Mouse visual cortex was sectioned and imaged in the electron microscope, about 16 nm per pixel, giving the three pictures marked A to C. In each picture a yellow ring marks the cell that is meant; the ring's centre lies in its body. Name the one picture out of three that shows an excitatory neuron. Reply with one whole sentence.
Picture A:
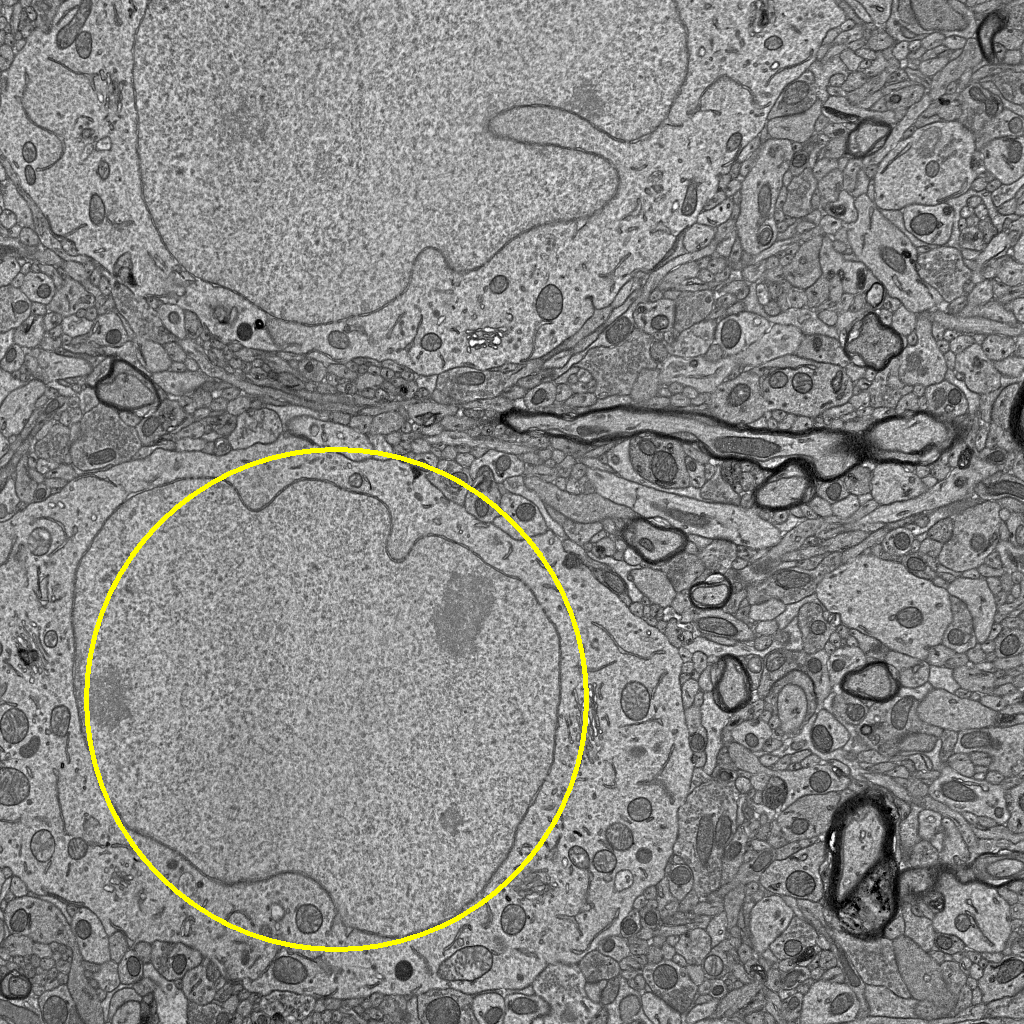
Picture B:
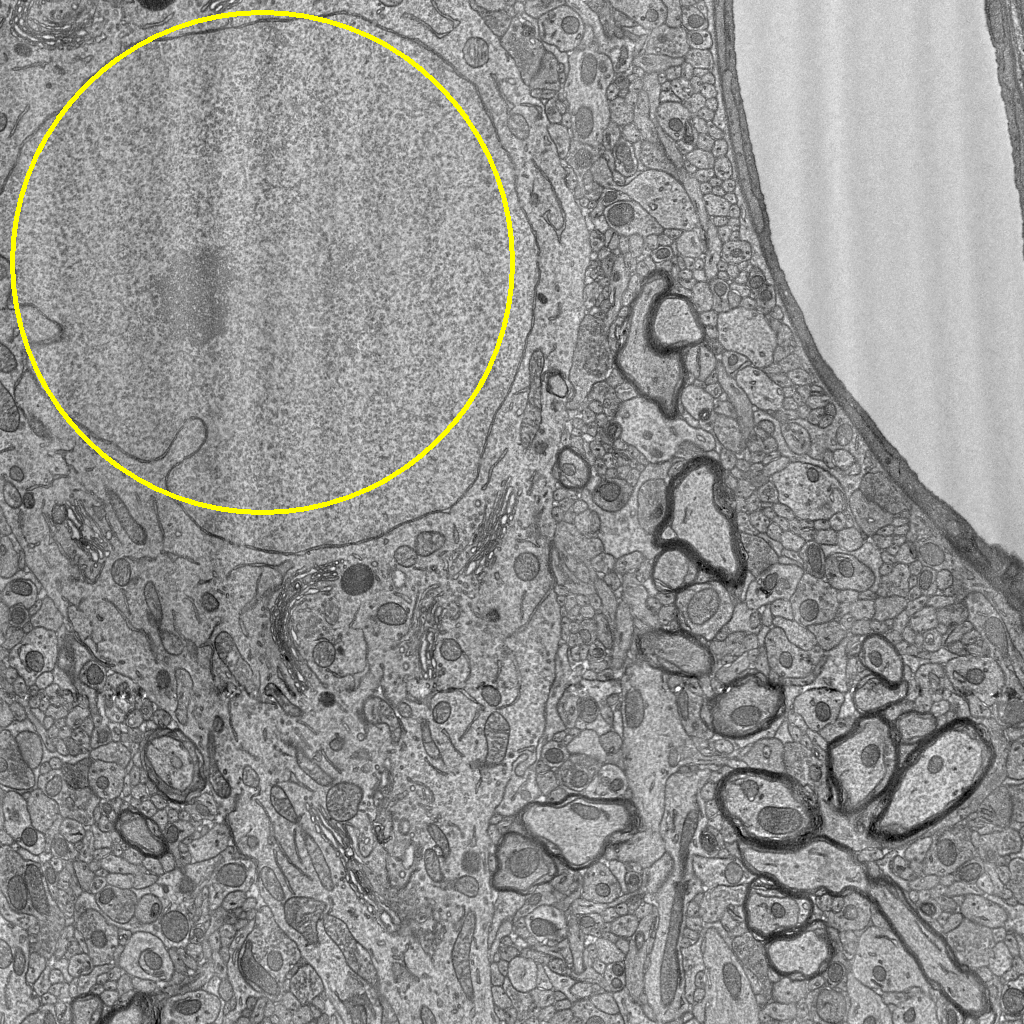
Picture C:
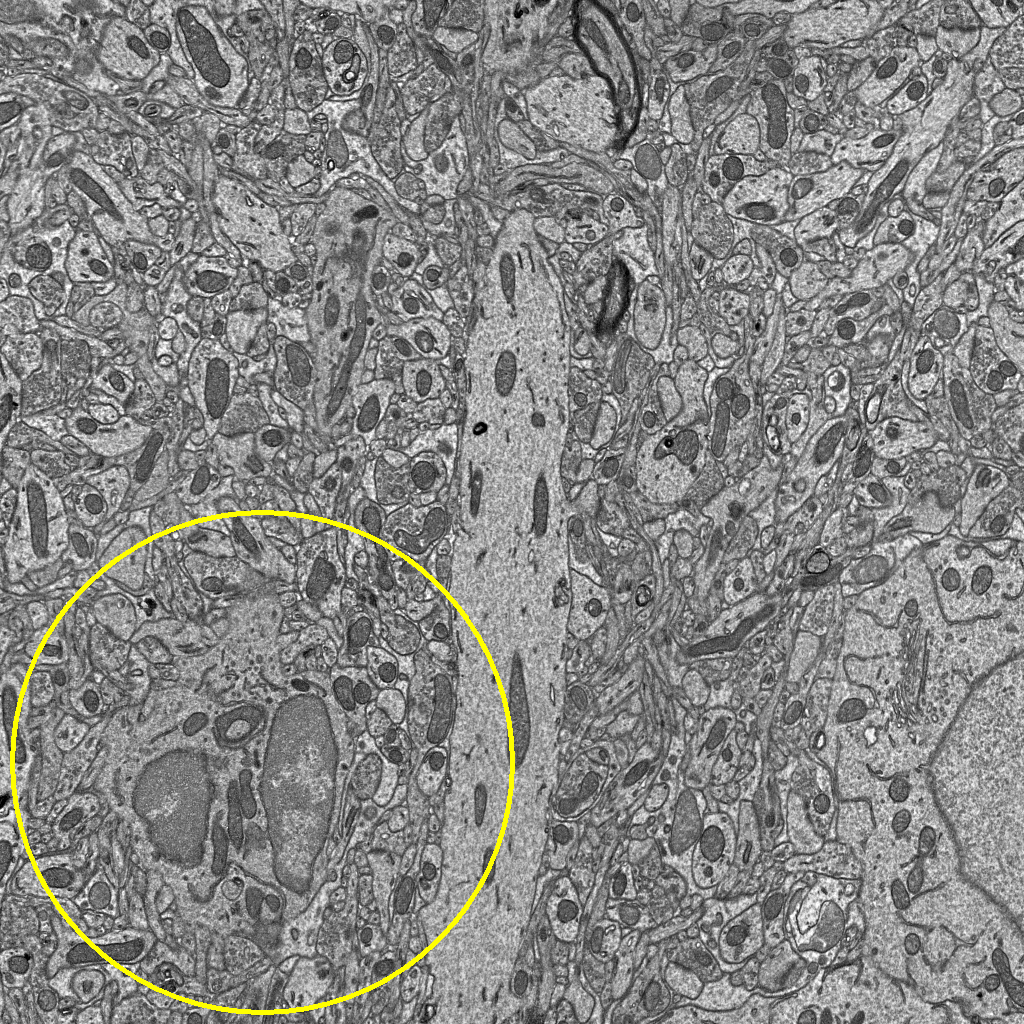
It is picture A that shows the excitatory neuron.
